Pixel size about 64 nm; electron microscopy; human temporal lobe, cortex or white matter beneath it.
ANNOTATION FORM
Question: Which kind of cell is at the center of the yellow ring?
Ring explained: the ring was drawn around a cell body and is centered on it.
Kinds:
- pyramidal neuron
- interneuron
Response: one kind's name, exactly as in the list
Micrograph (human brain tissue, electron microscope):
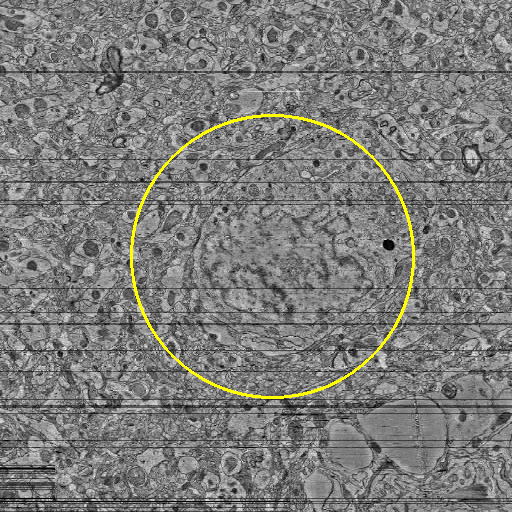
interneuron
